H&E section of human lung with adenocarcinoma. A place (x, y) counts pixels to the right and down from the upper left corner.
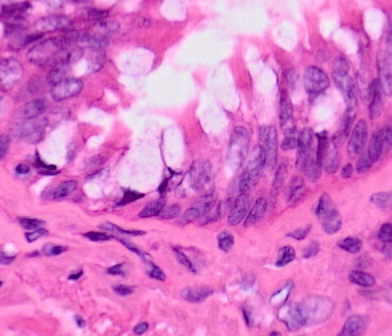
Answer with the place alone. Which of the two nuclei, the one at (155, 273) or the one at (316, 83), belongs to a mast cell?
(155, 273)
